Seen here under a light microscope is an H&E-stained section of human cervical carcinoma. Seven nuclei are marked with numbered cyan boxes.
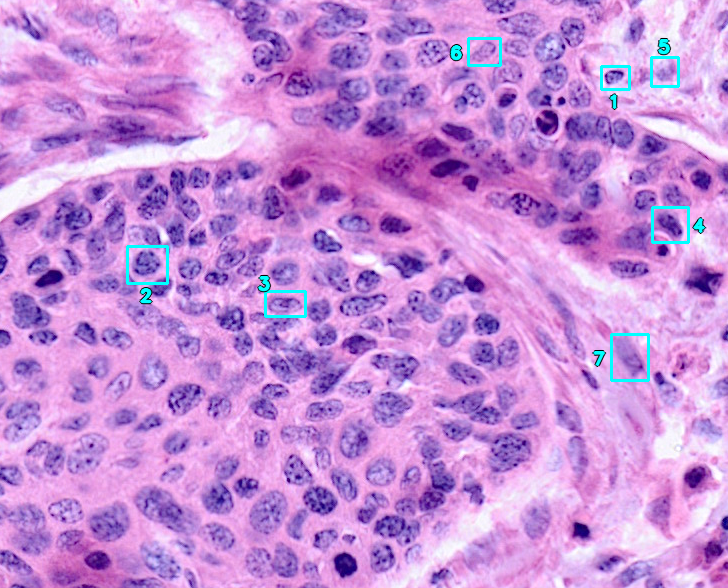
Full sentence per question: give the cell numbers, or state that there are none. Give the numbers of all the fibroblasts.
The cells with the numbers 5 and 7 are fibroblasts.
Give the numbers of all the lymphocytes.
It is cell 1, and no other numbered cell, that is a lymphocyte.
